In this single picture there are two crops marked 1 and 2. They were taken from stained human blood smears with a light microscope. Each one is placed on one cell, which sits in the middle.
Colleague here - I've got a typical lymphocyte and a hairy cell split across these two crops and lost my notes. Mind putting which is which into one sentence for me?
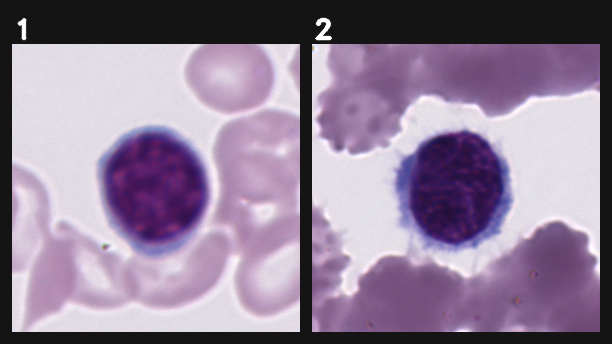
Crop 1 holds a typical lymphocyte; a hairy cell occupies crop 2.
